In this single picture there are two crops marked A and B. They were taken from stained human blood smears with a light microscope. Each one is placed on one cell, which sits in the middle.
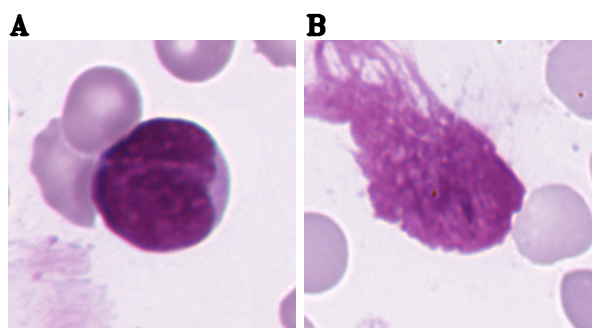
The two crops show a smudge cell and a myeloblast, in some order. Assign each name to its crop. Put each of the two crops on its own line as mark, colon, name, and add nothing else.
A: myeloblast
B: smudge cell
